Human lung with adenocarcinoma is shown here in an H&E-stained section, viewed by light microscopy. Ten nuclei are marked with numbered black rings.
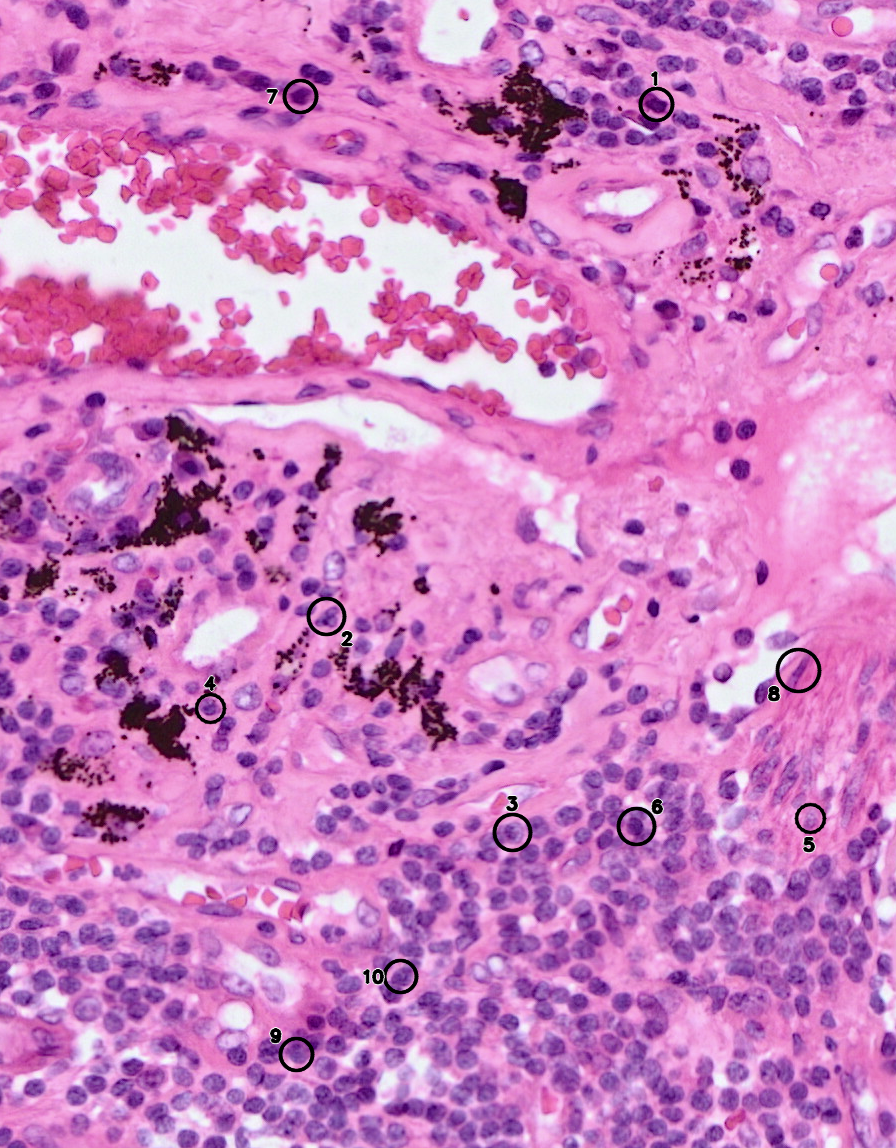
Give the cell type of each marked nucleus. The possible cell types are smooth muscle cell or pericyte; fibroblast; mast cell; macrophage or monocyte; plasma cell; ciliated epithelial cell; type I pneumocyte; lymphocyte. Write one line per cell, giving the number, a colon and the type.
1: plasma cell
2: lymphocyte
3: lymphocyte
4: lymphocyte
5: smooth muscle cell or pericyte
6: lymphocyte
7: plasma cell
8: smooth muscle cell or pericyte
9: lymphocyte
10: lymphocyte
